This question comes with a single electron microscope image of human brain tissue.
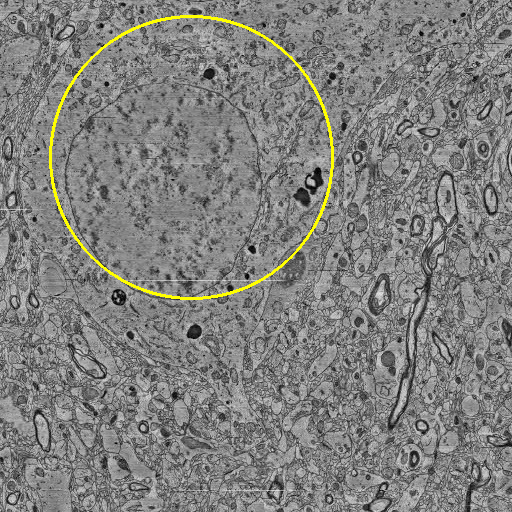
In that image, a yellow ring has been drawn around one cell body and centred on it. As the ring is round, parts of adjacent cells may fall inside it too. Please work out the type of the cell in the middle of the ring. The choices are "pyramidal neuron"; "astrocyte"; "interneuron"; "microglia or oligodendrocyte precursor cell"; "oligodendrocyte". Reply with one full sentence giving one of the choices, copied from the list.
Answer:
Of the choices, a pyramidal neuron is the cell sitting in the middle of the ring.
